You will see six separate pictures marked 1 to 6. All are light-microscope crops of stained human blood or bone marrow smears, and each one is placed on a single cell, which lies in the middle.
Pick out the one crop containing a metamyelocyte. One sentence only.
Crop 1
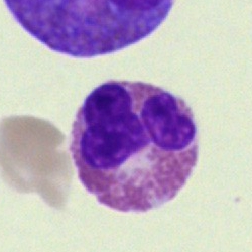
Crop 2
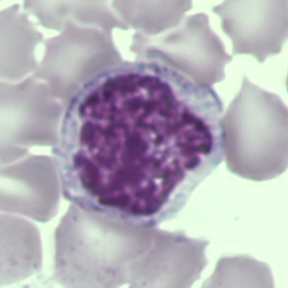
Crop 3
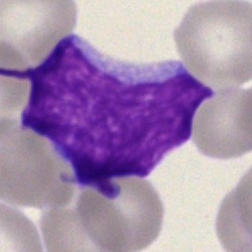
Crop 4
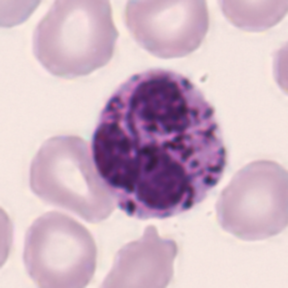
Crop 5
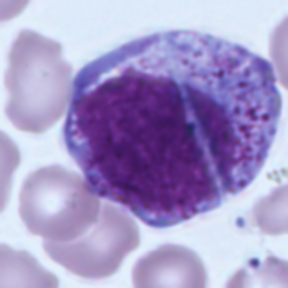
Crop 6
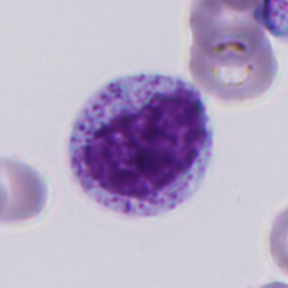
Crop 6, and no other, is the one that shows a metamyelocyte.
